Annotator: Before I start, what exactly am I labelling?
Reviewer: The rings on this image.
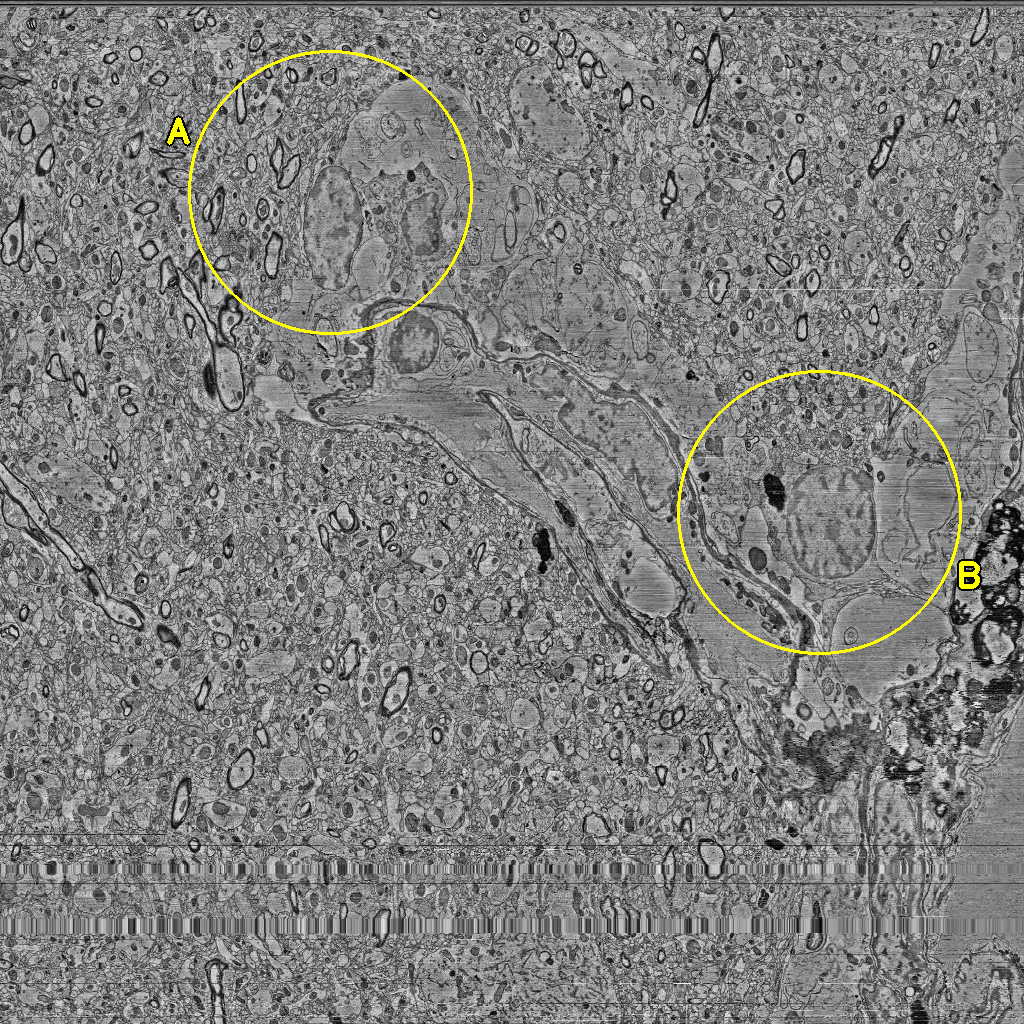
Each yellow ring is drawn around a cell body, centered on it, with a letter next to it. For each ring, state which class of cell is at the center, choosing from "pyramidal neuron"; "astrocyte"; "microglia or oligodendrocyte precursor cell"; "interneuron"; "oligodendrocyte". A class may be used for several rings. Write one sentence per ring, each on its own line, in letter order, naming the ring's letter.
At the center of ring A we have a microglial cell or oligodendrocyte precursor cell.
At the center of ring B we have an oligodendrocyte.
